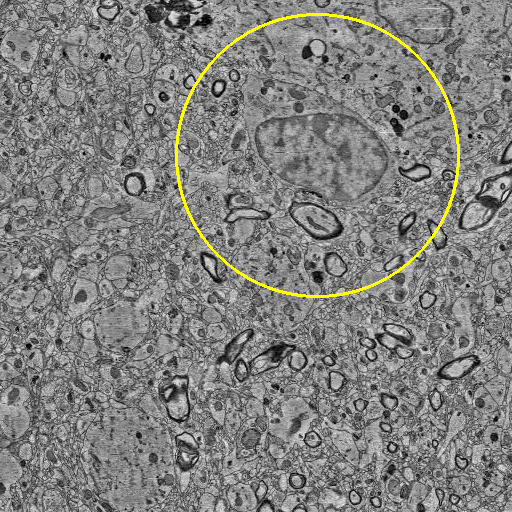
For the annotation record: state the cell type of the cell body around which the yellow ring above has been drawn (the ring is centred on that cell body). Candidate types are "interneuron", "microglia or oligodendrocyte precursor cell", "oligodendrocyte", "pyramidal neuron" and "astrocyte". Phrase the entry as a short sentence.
The ringed cell is an oligodendrocyte.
